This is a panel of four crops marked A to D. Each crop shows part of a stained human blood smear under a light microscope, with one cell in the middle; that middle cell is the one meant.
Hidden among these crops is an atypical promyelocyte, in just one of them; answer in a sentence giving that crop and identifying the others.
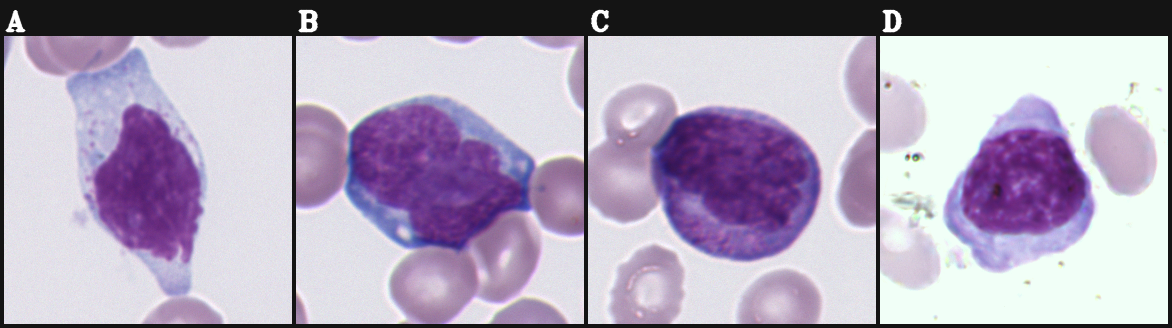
Crop C counts as an atypical promyelocyte, while crop A is a large granular lymphocyte, crop B is a myeloblast and crop D is a plasma cell.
